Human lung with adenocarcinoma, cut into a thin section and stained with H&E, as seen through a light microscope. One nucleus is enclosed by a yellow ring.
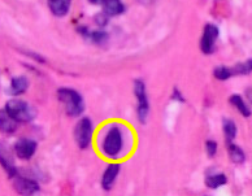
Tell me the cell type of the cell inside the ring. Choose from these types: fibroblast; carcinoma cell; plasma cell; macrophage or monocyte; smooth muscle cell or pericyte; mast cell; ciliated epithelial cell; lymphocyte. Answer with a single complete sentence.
The classification of the cell inside the ring is as a lymphocyte.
